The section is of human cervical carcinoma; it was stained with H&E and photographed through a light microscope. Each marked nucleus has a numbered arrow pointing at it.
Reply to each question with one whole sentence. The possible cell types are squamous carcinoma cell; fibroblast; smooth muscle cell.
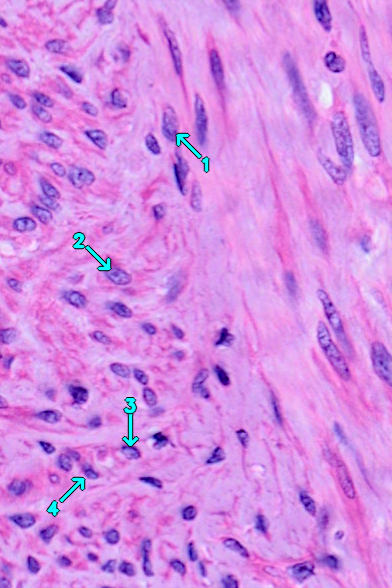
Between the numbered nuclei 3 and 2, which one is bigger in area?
Of the two, number 2 is bigger and takes up about 1.5 times the area of number 3.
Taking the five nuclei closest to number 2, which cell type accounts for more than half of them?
Of the five nuclei nearest to number 2, most belong to smooth muscle cells.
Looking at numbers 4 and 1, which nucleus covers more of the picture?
Of the two, number 1 is bigger and takes up about 3 times the area of number 4.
